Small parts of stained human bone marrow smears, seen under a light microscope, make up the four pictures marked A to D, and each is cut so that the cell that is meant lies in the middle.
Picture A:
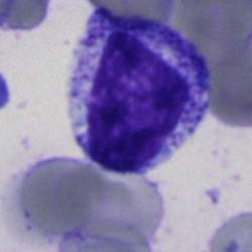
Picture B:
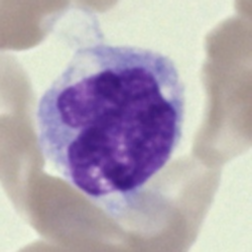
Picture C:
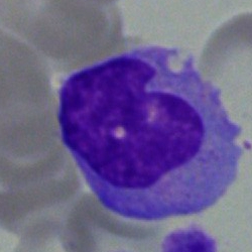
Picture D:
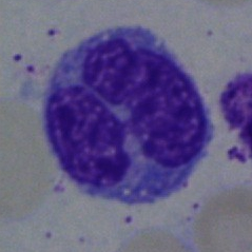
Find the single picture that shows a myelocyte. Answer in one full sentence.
It is picture A that shows the myelocyte.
